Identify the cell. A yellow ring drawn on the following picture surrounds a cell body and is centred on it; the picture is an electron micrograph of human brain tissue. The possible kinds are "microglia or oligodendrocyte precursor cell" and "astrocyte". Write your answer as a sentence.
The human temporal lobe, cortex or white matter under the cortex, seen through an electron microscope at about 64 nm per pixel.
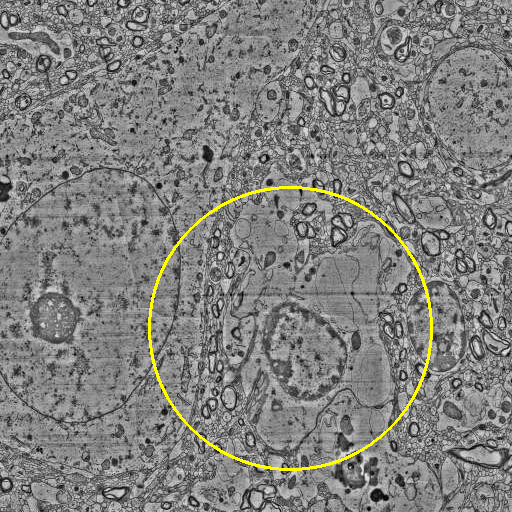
The cell identified by the ring is an astrocyte.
